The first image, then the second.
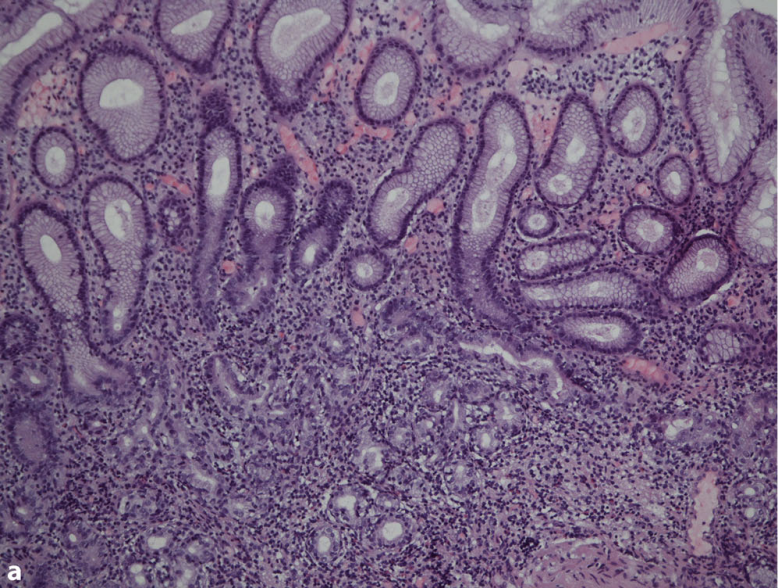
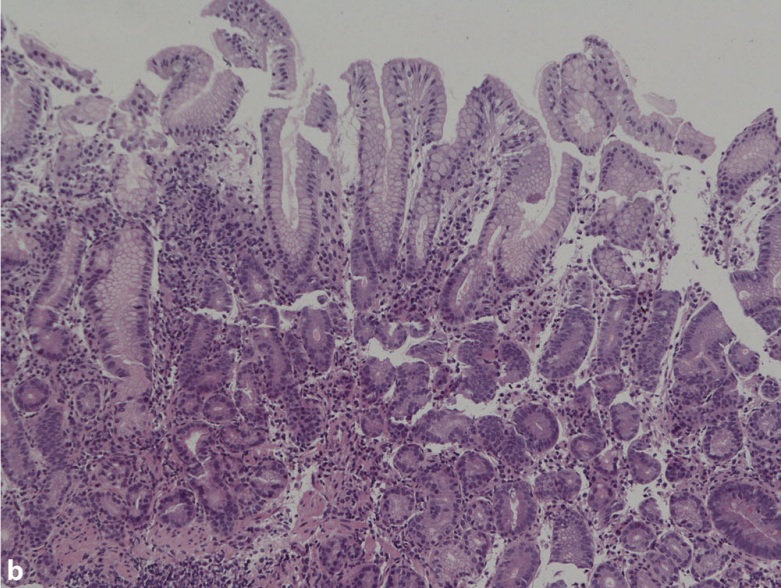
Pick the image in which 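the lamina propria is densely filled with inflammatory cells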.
The first image.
